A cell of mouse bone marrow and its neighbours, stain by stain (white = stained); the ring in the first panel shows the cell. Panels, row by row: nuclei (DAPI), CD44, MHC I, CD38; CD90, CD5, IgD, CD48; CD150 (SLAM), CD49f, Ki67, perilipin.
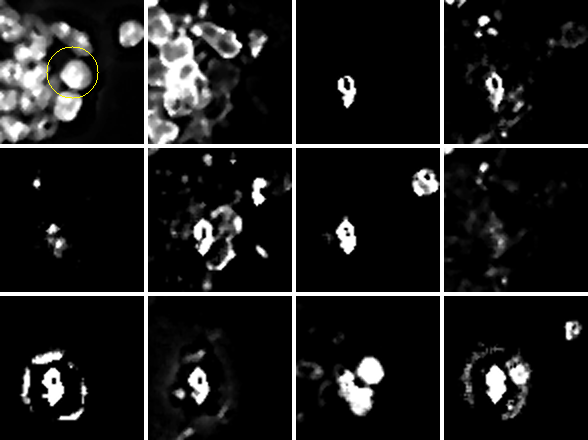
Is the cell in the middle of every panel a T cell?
No, it is an erythroblast.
